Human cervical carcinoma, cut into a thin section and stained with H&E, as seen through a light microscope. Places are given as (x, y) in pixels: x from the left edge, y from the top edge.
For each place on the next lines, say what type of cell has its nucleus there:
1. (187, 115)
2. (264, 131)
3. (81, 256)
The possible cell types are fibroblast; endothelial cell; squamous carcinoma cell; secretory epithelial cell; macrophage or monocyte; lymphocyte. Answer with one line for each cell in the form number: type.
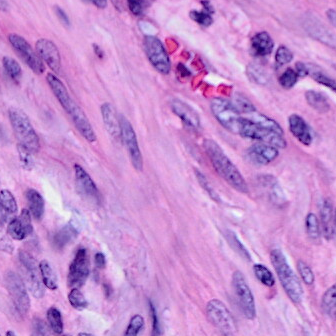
1: endothelial cell
2: endothelial cell
3: lymphocyte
